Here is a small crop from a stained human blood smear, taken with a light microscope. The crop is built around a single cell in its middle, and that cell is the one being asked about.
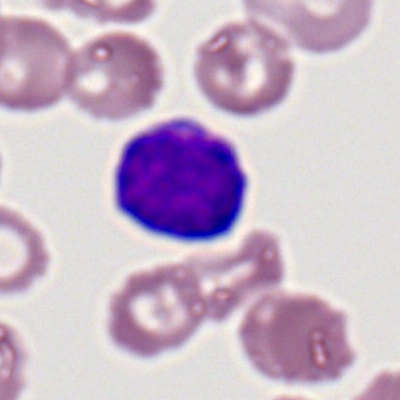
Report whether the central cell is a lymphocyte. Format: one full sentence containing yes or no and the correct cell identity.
Yes, that middle cell in the crop is a lymphocyte.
